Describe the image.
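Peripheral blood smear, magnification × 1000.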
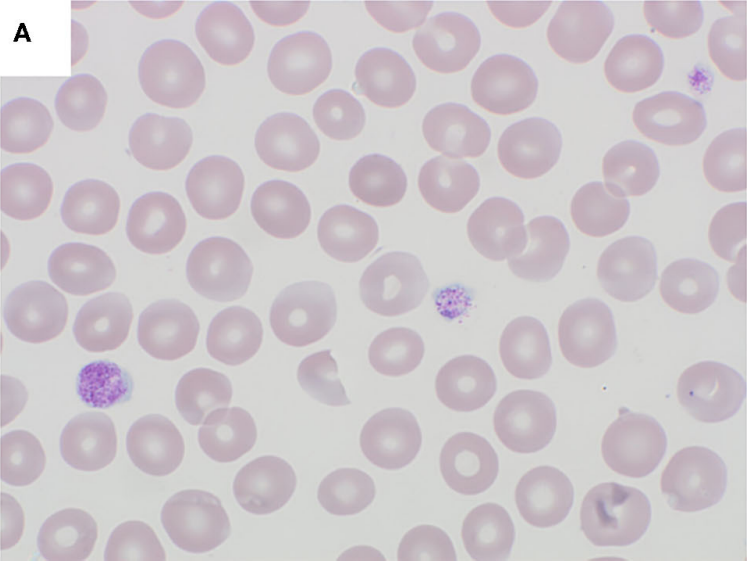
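Pale pink, round red cells with central pallor fill the field, thinly spread and mostly separate. Among them lie a few purple, finely granular bodies without nuclei, the largest about as big as a red cell and others smaller.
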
